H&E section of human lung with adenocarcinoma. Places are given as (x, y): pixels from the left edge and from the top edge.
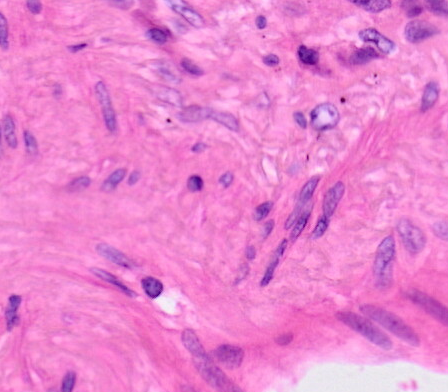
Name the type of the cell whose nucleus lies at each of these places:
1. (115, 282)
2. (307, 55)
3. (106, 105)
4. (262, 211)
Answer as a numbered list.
1. smooth muscle cell or pericyte
2. plasma cell
3. smooth muscle cell or pericyte
4. smooth muscle cell or pericyte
